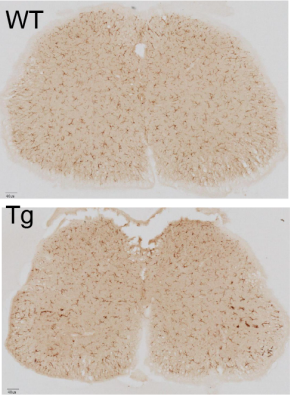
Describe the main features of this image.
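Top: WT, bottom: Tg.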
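Two transverse sections of spinal cord lightly stained, with many small brown branched cells scattered throughout both grey and white matter. In the lower section some areas of the grey matter show denser, darker brown cells.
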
